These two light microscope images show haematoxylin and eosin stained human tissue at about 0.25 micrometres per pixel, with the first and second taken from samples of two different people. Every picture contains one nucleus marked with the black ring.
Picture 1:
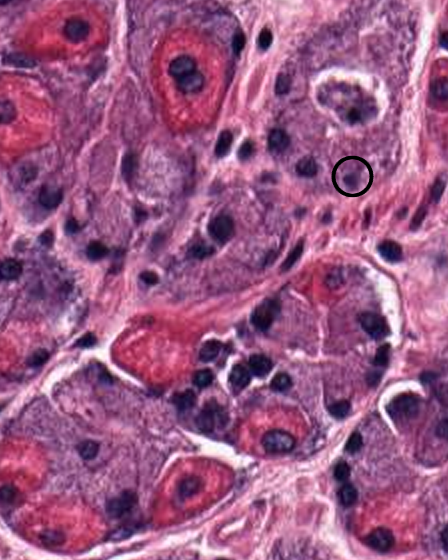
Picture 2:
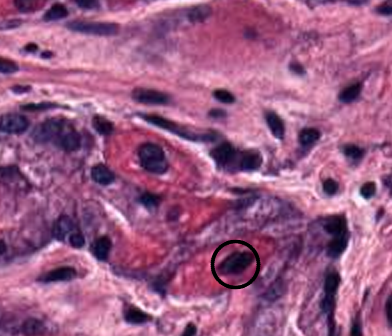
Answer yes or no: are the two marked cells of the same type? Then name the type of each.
No, the first is a chief cell and the second a parietal cell.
